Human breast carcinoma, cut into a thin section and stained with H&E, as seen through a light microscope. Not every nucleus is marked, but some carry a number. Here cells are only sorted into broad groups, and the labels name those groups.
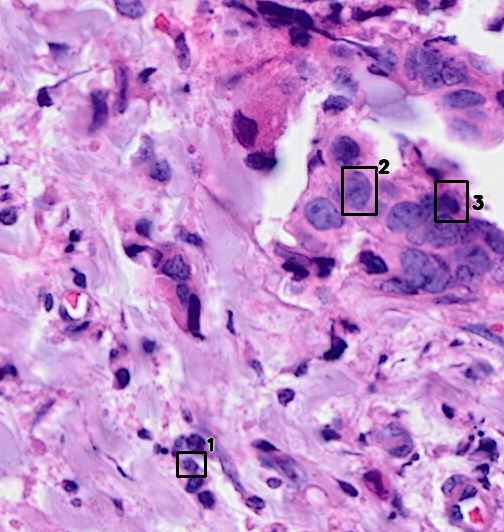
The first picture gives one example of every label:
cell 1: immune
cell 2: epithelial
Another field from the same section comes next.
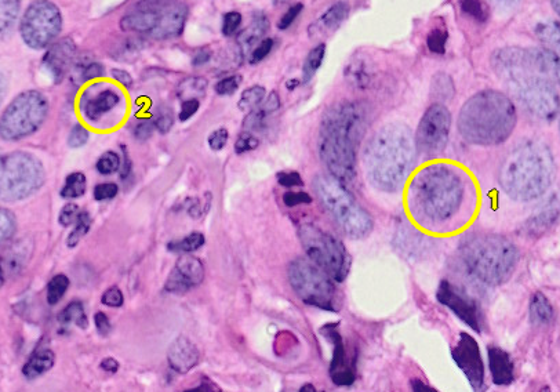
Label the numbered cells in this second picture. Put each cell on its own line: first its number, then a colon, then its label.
1: epithelial
2: immune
